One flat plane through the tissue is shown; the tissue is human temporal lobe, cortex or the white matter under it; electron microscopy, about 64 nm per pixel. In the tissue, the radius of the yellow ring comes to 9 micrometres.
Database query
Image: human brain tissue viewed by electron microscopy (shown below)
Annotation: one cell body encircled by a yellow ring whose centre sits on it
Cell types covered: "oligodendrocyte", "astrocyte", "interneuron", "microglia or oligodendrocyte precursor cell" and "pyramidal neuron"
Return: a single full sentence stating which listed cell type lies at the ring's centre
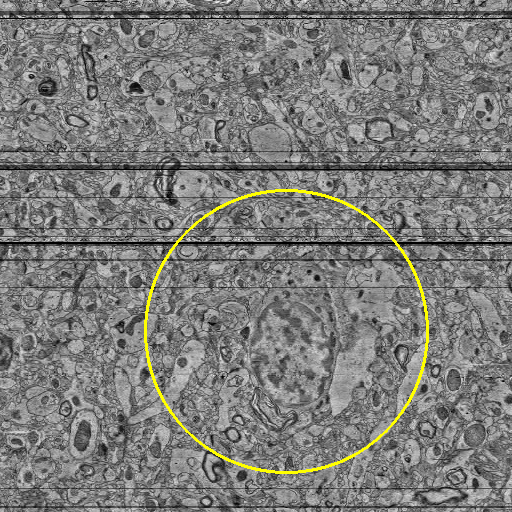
In the image, the cell lying at the ring's centre is an oligodendrocyte.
